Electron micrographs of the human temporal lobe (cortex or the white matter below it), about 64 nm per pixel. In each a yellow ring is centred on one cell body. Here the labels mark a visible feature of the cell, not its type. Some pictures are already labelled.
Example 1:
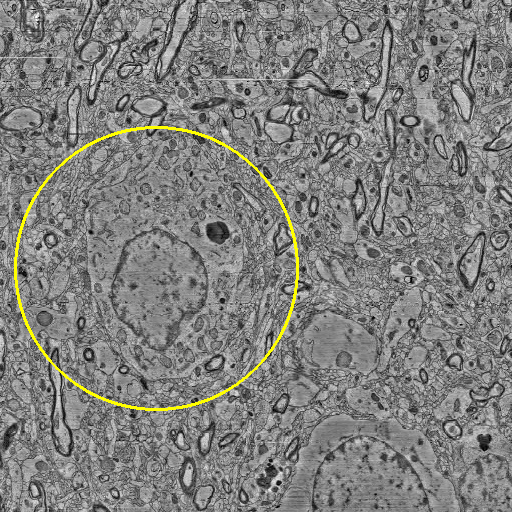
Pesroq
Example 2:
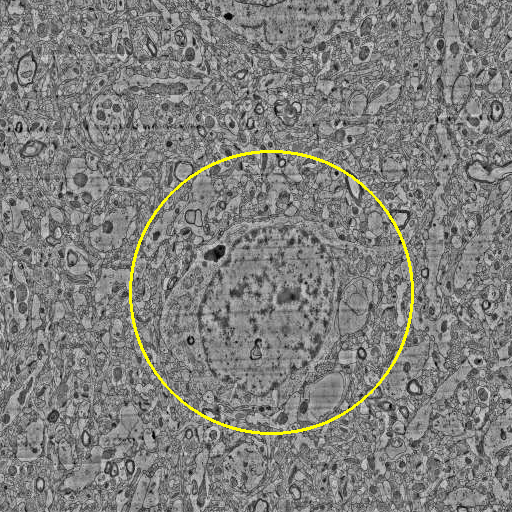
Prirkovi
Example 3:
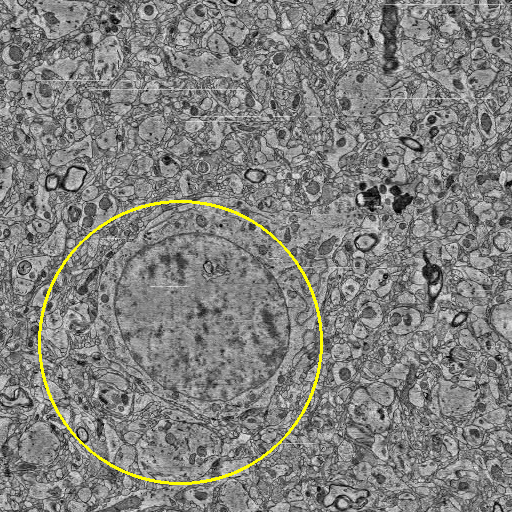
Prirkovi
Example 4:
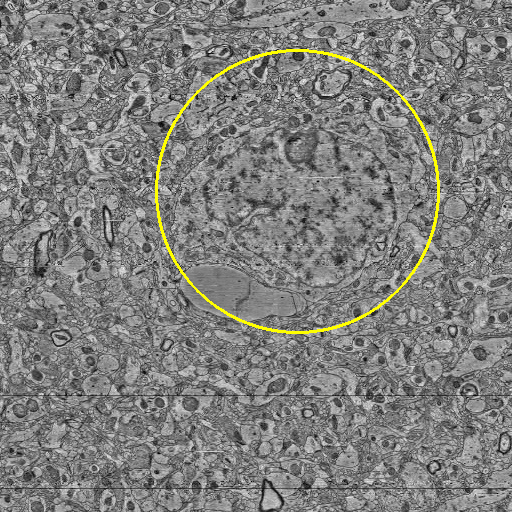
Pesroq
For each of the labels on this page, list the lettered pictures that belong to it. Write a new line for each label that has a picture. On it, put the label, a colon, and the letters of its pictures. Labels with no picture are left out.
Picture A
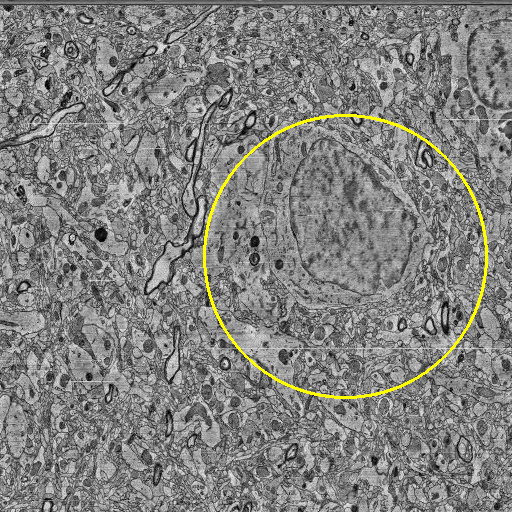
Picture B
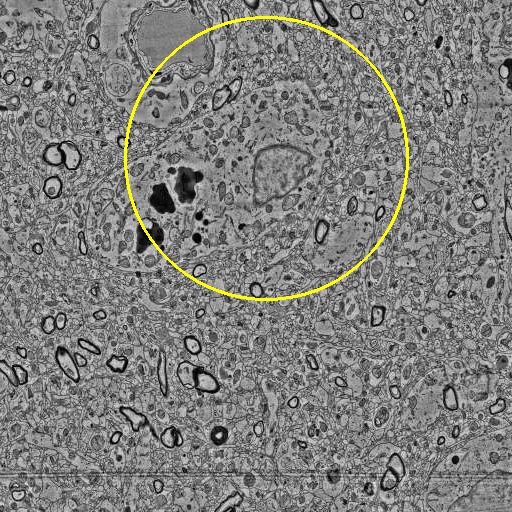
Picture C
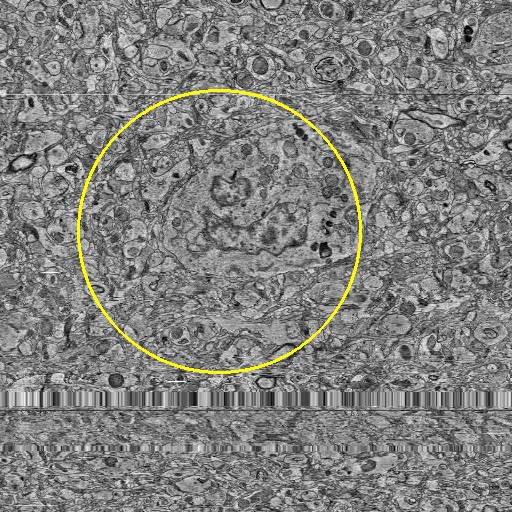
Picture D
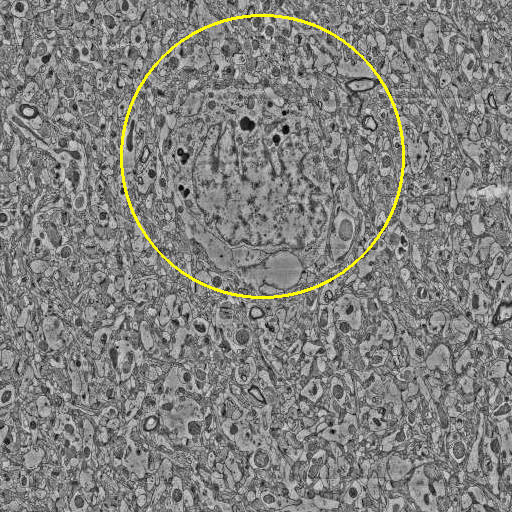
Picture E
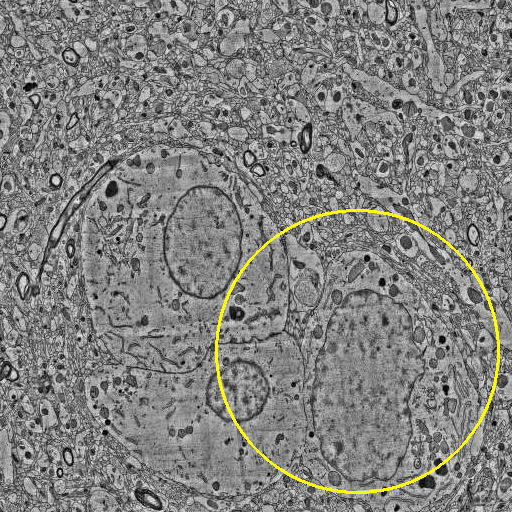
Pesroq: B, C, D
Prirkovi: A, E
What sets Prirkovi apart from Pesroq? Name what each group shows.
Seen in Prirkovi: smooth nuclear envelopes without deep folds; seen in Pesroq: deeply folded or indented nuclear envelopes.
